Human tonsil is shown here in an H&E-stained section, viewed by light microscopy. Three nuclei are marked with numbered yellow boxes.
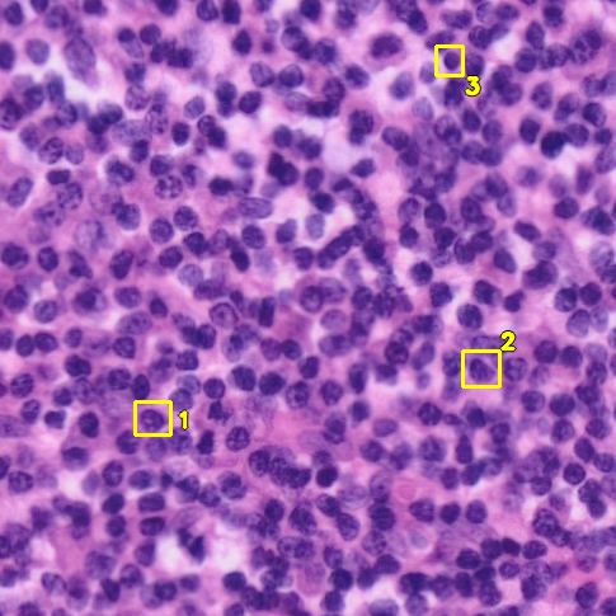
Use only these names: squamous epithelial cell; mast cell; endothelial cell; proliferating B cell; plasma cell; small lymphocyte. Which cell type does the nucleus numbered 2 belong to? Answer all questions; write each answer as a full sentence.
The identity of cell 2 is that of a small lymphocyte.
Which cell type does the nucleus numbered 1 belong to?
Heads up, the cell numbered 1 is a plasma cell.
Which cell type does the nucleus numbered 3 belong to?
The cell that carries the label 3 is a small lymphocyte.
